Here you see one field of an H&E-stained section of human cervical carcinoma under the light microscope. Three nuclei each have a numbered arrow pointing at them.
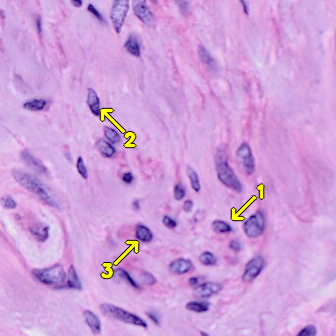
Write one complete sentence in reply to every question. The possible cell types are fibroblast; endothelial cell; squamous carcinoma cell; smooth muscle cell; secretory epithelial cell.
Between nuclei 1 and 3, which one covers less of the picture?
It is nucleus 1; nucleus 3 has about 1.5 times its area.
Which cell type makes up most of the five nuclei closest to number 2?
Of the five nuclei nearest to number 2, most belong to smooth muscle cells.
